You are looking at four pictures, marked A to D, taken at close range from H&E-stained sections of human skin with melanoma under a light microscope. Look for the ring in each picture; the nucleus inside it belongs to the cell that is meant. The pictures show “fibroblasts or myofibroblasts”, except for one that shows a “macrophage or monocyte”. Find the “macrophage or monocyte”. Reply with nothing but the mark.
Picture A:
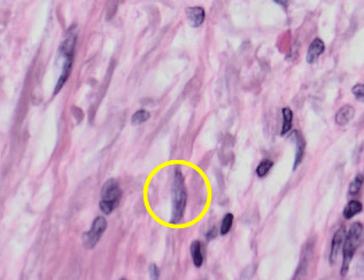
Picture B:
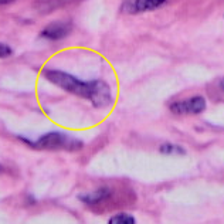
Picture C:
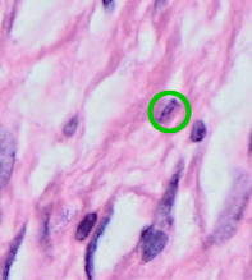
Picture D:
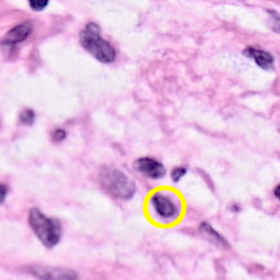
D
